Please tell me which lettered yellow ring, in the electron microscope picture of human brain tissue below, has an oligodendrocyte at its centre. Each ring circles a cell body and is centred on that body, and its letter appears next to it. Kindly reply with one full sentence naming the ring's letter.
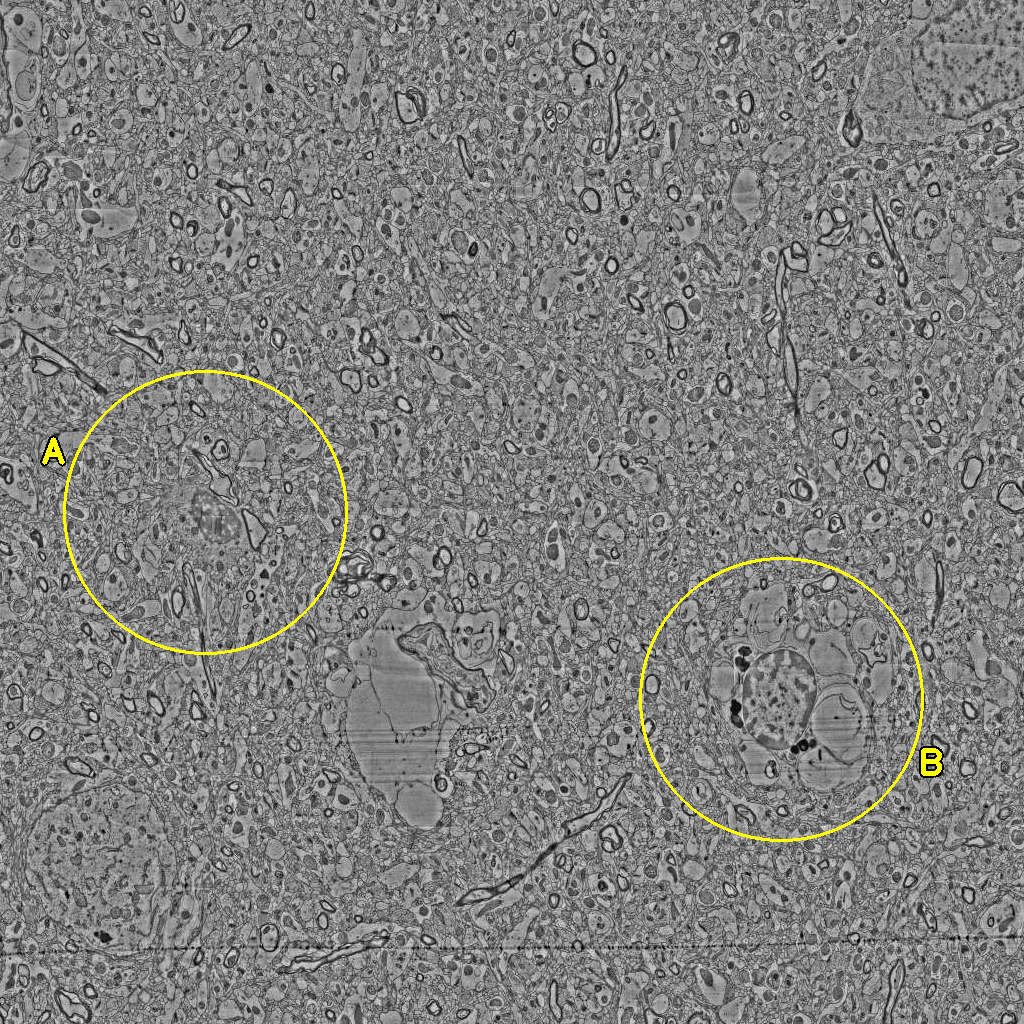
Ring A has the cell asked for at its centre.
